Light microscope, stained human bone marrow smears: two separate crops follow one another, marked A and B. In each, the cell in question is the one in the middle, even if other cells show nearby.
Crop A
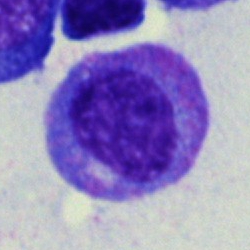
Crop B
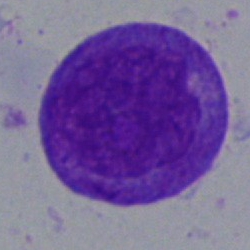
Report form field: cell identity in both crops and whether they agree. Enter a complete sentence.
Yes, both crops have promyelocytes as their central cells.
